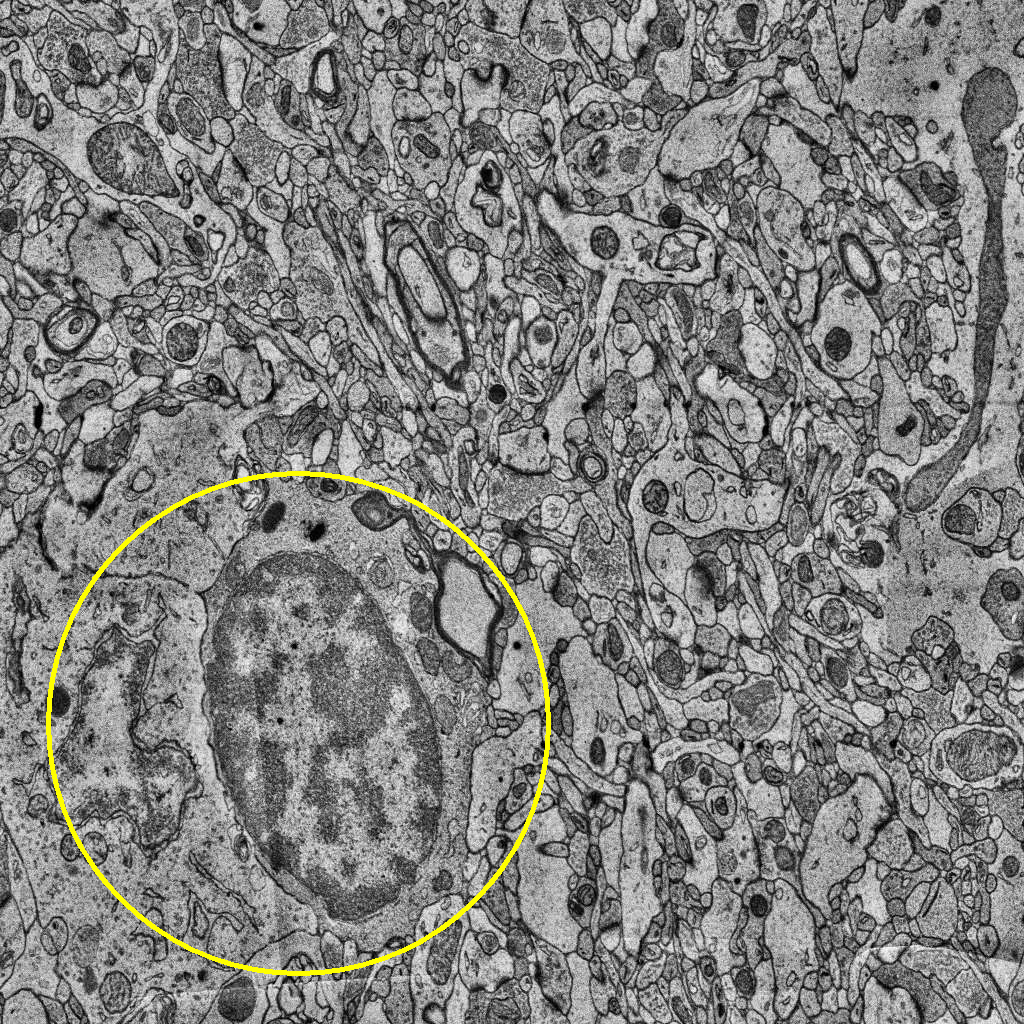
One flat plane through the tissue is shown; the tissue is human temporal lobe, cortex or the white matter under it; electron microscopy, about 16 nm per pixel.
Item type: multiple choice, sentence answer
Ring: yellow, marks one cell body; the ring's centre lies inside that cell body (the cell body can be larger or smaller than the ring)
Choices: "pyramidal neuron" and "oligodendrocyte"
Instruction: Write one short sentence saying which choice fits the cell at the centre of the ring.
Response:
The centre of this ring lies on an oligodendrocyte.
